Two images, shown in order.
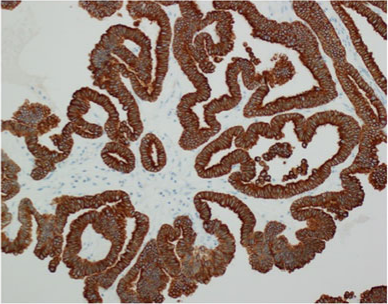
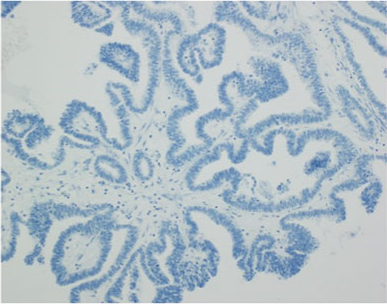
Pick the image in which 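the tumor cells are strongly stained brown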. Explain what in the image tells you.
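The first image. Second image: the papillary epithelium is blue with no brown stain. First image: the papillary epithelium is dark brown throughout the cytoplasm.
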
